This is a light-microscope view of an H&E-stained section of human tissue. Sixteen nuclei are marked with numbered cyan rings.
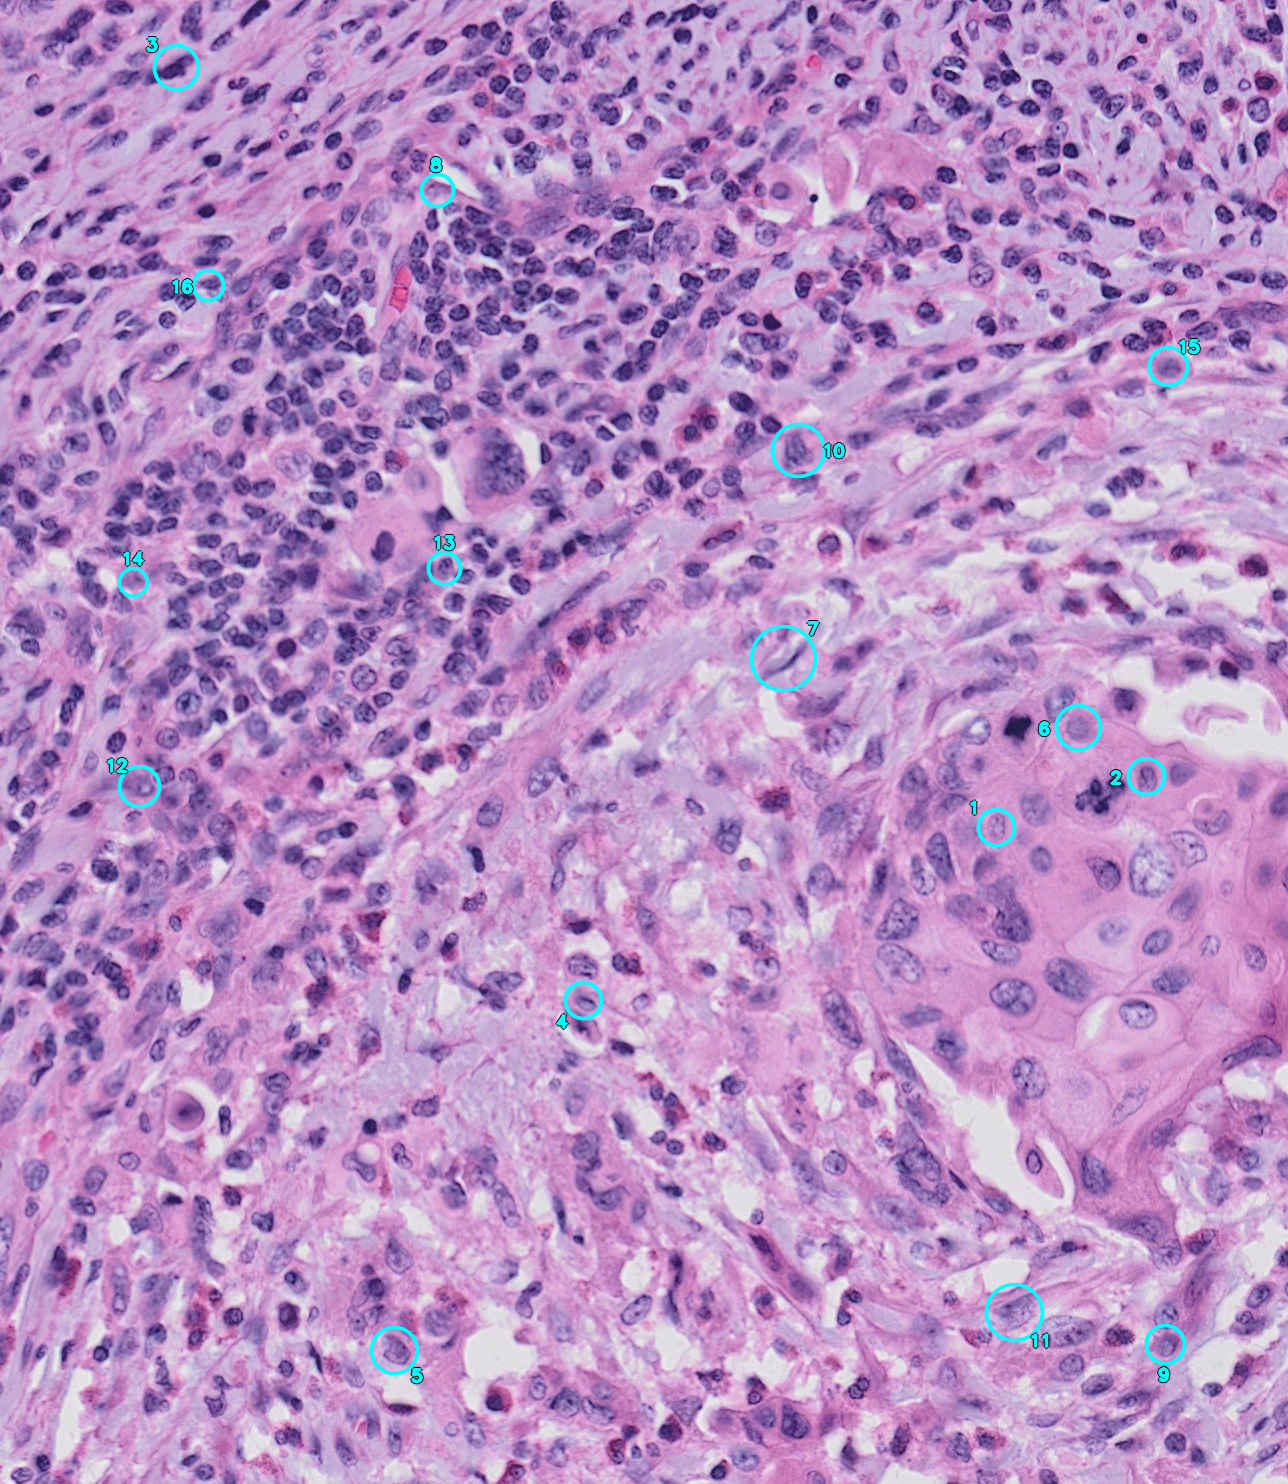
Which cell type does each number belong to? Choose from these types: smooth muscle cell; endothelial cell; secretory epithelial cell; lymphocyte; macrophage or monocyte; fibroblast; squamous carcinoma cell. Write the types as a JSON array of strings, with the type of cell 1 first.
["squamous carcinoma cell", "squamous carcinoma cell", "lymphocyte", "macrophage or monocyte", "macrophage or monocyte", "squamous carcinoma cell", "fibroblast", "endothelial cell", "endothelial cell", "endothelial cell", "fibroblast", "endothelial cell", "lymphocyte", "endothelial cell", "macrophage or monocyte", "lymphocyte"]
